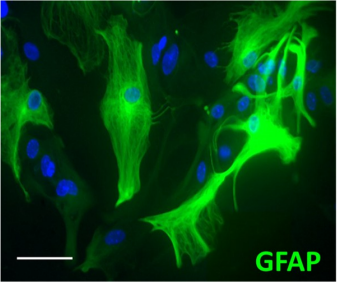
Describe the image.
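The cells are spread and irregular in outline, some roughly triangular, others with several broad arms. Oval blue nuclei sit within the green cell bodies, while other blue nuclei lie in the dark background, belonging to cells without green.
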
